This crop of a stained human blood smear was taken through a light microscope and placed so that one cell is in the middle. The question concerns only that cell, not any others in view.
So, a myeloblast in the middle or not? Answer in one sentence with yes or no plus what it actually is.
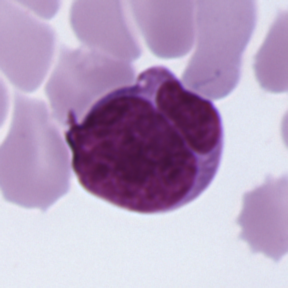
Yes, the centrally placed cell is a myeloblast.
